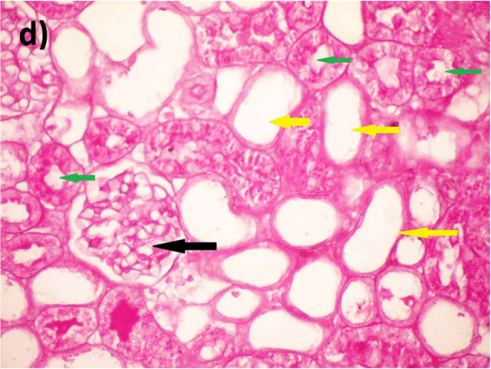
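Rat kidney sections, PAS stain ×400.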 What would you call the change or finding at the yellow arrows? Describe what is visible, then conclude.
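The marked tubules are widely dilated with empty lumina. Their lining is thin and flattened without a stained luminal fringe. The answer: Damaged tubules.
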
